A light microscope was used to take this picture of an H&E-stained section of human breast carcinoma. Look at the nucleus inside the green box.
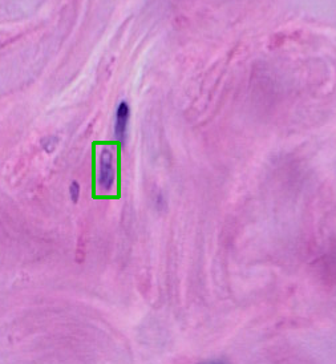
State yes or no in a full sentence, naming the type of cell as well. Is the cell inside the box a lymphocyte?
No, the cell inside the box is to be classified as a fibroblast rather than a lymphocyte.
